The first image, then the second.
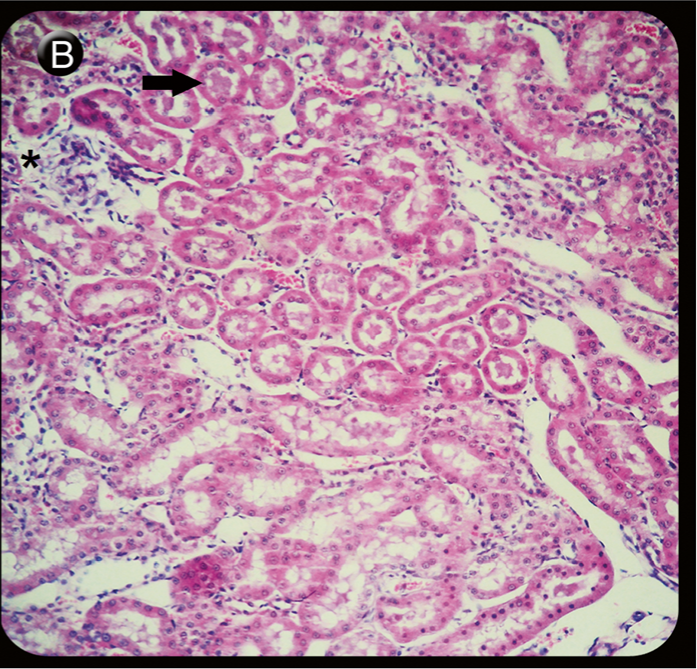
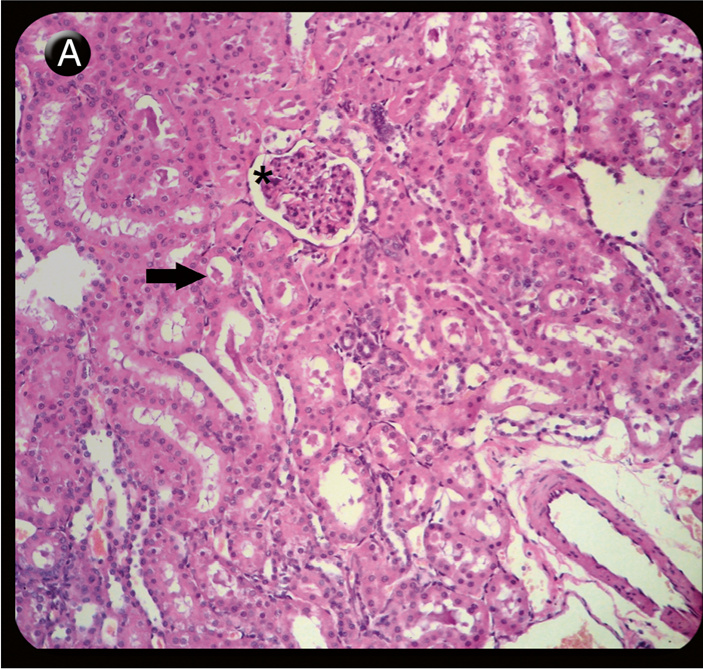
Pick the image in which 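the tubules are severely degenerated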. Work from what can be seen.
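The first image. First image: tubules lie apart with wide pale spaces between them and many cells have pale, washed-out cytoplasm. Second image: tubules are closely packed with mostly intact pink epithelium.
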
